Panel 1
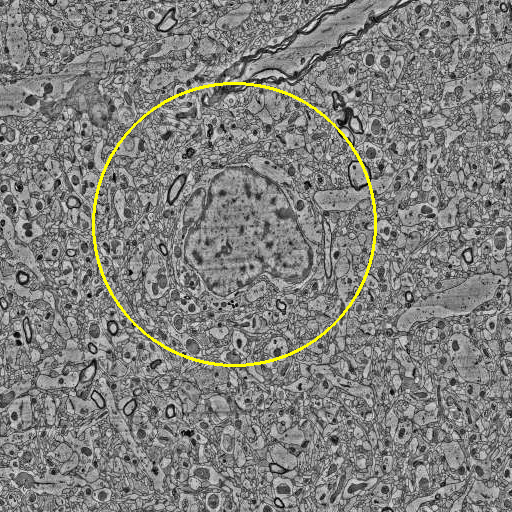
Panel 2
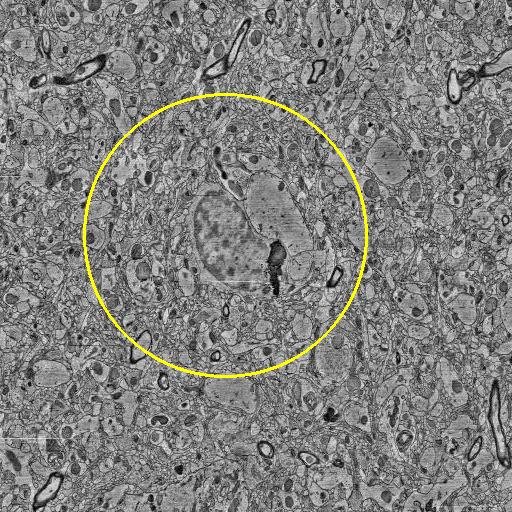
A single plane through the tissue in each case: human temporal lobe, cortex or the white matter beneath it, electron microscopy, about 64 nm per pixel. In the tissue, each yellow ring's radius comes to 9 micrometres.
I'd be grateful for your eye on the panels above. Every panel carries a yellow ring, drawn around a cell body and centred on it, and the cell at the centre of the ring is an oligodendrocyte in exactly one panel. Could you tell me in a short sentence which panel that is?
Panel 2 is the one with it at the centre of the ring.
